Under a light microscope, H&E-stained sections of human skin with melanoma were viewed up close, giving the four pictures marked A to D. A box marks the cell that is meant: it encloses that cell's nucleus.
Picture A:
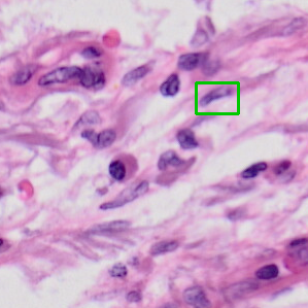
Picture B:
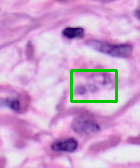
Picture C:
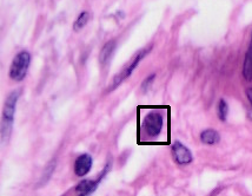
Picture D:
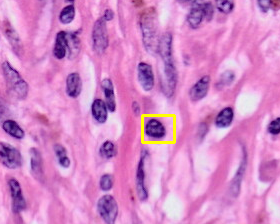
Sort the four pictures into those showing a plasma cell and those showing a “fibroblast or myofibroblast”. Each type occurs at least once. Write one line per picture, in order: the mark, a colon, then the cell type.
A: fibroblast or myofibroblast
B: fibroblast or myofibroblast
C: plasma cell
D: plasma cell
